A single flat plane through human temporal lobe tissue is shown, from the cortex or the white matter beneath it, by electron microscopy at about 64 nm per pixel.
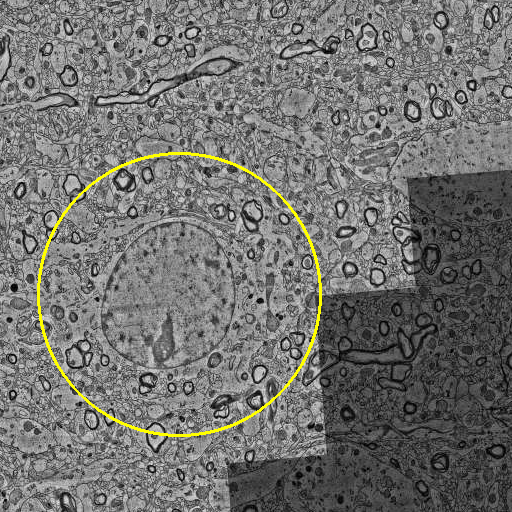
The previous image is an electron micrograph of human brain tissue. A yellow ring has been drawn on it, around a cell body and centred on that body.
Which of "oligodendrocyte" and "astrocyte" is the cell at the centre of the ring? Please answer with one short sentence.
The cell body at the centre of the ring belongs to an astrocyte.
